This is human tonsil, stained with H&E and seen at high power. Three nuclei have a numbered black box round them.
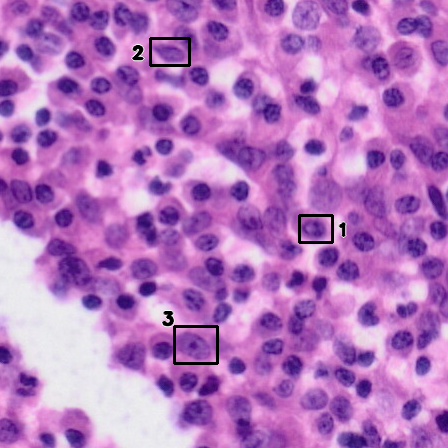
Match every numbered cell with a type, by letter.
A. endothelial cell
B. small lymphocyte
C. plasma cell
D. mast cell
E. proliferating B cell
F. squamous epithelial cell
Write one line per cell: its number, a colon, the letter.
1: C
2: F
3: F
